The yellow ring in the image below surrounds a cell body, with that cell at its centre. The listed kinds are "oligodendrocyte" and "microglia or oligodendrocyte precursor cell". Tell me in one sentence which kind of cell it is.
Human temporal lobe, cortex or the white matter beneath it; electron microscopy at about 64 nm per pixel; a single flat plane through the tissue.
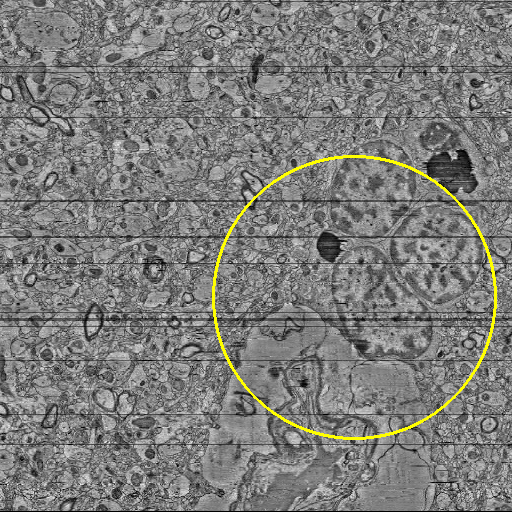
The centre of the ring holds an oligodendrocyte.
